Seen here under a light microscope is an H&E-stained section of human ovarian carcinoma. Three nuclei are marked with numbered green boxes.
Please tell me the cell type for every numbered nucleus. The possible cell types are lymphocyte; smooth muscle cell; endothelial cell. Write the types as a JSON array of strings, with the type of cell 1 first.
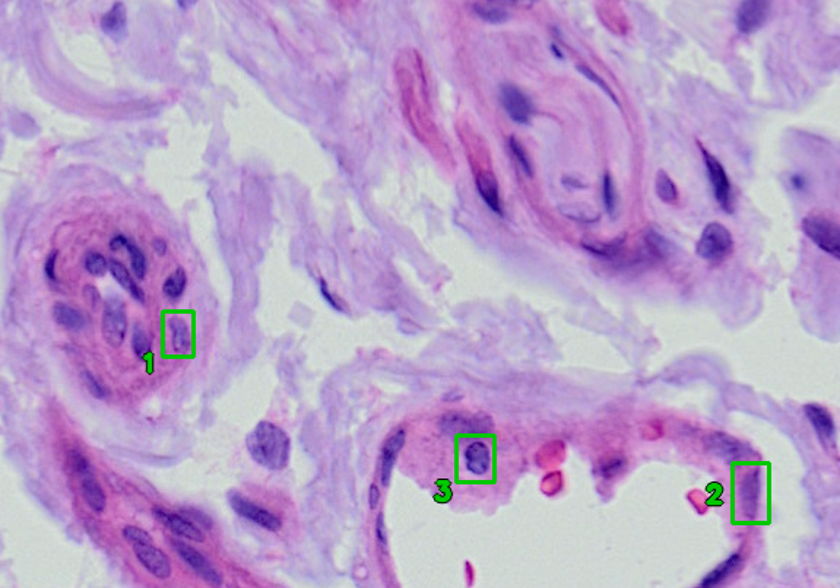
["smooth muscle cell", "endothelial cell", "lymphocyte"]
